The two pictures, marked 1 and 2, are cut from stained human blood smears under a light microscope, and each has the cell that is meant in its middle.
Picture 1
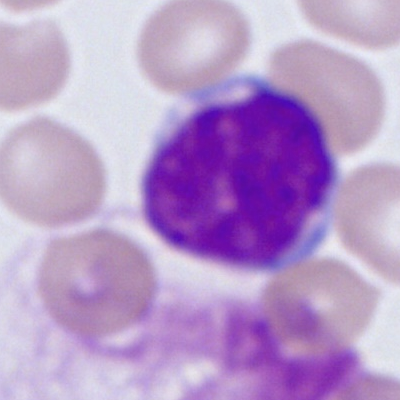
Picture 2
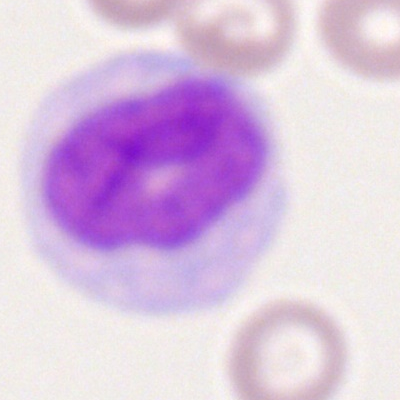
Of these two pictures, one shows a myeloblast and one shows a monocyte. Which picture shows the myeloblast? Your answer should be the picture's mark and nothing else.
1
